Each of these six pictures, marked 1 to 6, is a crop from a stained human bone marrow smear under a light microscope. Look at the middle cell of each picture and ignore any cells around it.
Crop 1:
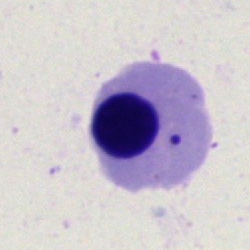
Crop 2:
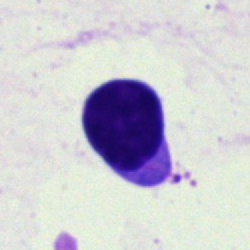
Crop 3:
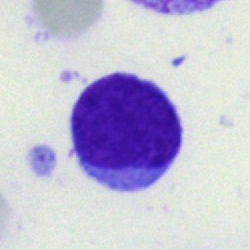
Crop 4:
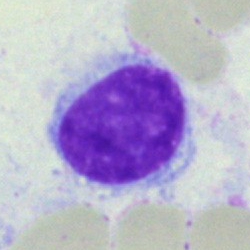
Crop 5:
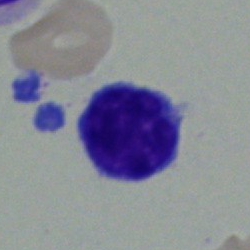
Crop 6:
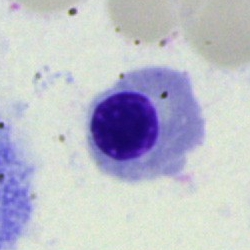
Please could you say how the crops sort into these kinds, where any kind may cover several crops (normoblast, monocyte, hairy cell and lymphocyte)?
1: normoblast
2: lymphocyte
3: lymphocyte
4: hairy cell
5: lymphocyte
6: normoblast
